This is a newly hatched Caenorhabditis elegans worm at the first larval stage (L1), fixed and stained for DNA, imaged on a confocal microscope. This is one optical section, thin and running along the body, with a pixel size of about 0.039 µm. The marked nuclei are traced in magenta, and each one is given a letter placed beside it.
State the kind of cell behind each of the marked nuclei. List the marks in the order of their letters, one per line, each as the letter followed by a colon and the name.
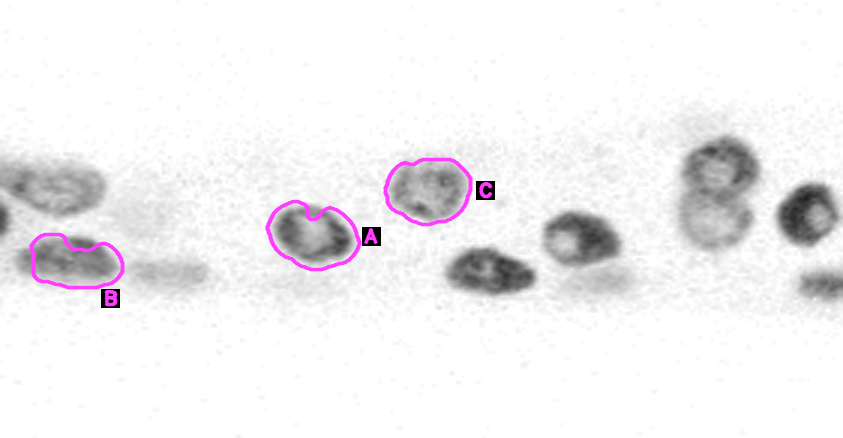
A: seam cell
B: P cell (ventral epidermal blast cell)
C: hypodermal cell (hyp)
